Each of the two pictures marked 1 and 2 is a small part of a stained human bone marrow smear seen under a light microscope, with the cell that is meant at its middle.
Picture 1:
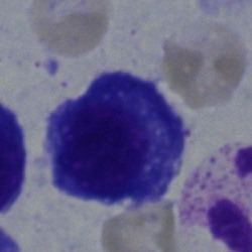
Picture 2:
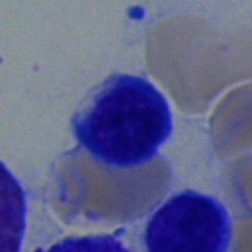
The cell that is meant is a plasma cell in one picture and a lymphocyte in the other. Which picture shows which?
1: plasma cell
2: lymphocyte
